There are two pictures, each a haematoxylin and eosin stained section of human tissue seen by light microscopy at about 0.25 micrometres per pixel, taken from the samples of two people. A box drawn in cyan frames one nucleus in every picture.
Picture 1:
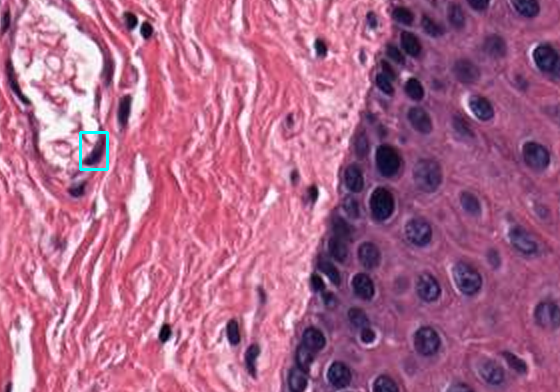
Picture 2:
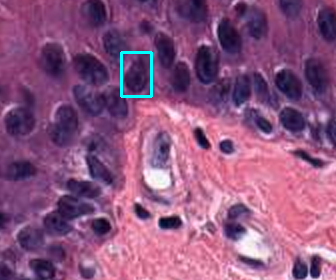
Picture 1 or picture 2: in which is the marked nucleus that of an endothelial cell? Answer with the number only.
1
